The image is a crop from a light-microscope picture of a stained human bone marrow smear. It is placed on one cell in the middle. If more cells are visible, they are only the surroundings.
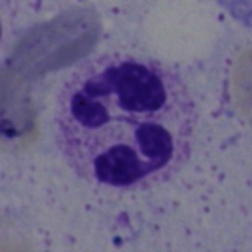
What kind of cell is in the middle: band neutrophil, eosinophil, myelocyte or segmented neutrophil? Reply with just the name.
segmented neutrophil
